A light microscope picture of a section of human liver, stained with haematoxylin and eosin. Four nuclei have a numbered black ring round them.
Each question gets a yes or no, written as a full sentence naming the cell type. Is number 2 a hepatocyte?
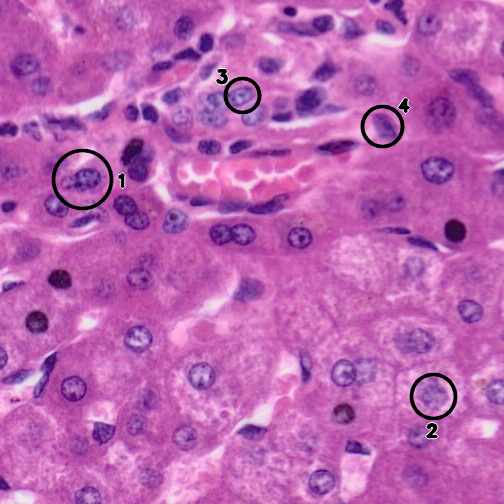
Yes, the cell with the mark numbered 2 is a hepatocyte.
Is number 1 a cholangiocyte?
Yes, the cell pointed out as number 1 is a cholangiocyte.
